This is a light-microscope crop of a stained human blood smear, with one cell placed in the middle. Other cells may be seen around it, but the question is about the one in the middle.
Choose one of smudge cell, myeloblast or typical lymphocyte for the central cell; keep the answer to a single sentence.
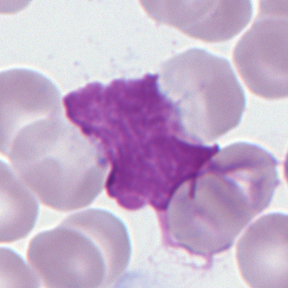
Centrally within this crop lies a smudge cell.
